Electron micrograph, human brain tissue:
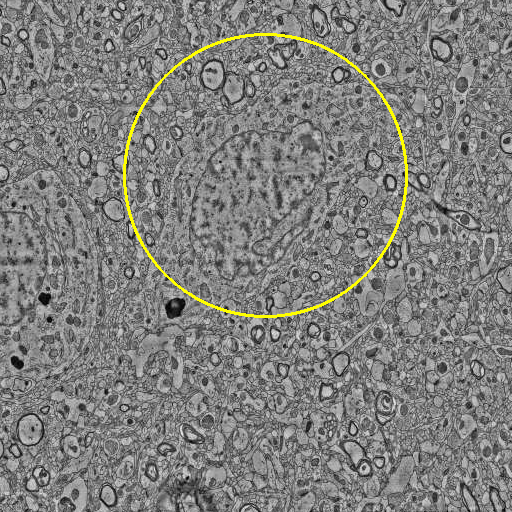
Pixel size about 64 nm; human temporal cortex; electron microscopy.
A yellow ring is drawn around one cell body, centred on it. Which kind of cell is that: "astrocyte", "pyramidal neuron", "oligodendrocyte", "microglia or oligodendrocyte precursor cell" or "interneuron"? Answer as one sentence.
It is an interneuron at the centre of the ring.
